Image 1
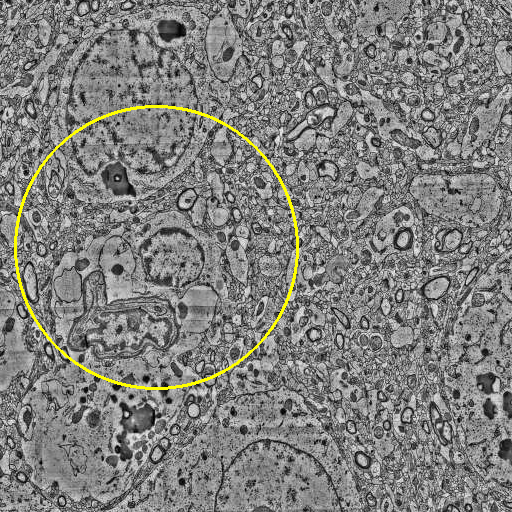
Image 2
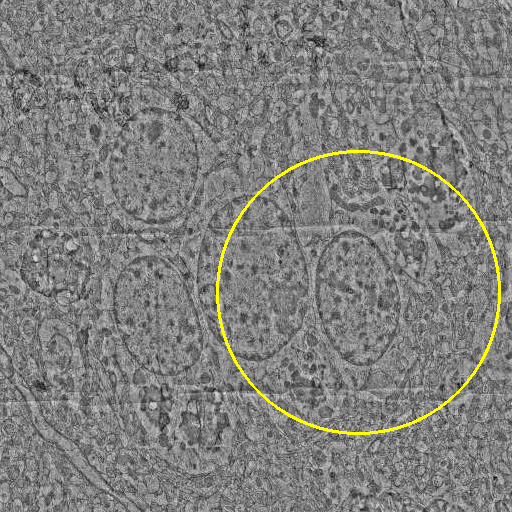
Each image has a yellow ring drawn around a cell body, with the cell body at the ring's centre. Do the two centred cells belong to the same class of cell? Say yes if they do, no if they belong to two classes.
no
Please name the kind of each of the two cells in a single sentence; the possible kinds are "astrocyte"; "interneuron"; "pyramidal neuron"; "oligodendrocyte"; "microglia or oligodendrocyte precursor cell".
In the first picture the ring is centred on a microglial cell or oligodendrocyte precursor cell, and in the second on an astrocyte.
